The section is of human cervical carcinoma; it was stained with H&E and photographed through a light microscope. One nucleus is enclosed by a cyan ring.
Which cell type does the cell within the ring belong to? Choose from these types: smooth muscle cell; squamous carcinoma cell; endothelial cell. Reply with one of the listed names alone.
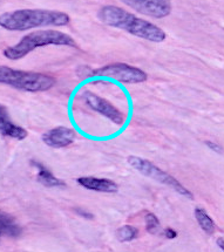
smooth muscle cell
